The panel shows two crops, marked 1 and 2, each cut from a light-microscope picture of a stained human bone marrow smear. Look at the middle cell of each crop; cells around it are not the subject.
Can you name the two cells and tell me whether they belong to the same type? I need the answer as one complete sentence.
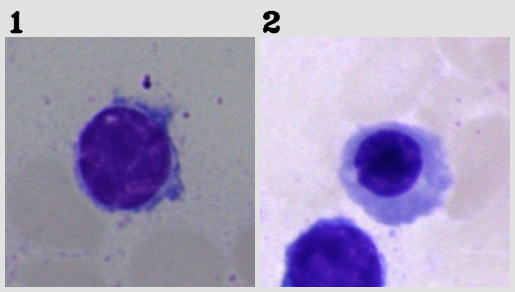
No, the middle of crop 1 holds a lymphocyte, and the middle of crop 2 holds an erythroblast.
